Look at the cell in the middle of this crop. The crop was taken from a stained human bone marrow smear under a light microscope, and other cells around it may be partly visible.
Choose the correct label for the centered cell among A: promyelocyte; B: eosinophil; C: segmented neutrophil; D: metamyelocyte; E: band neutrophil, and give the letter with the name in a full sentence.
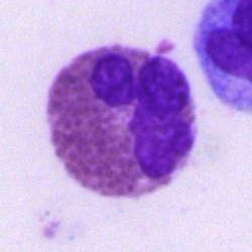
For this crop, option B is right, the centered cell being an eosinophil.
